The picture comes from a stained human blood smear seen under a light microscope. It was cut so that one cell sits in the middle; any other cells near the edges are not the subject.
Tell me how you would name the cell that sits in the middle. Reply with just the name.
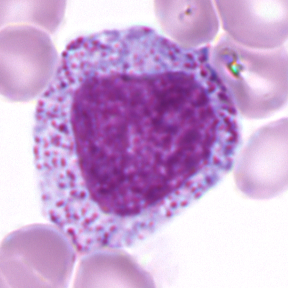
myelocyte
